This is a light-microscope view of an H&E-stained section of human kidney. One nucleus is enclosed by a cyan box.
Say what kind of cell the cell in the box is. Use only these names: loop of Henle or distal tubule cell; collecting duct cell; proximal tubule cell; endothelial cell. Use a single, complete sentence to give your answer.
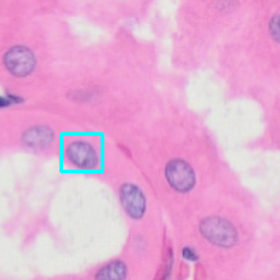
It is as a loop of Henle or distal tubule cell that the cell in the box is classified.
